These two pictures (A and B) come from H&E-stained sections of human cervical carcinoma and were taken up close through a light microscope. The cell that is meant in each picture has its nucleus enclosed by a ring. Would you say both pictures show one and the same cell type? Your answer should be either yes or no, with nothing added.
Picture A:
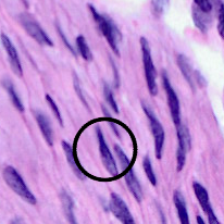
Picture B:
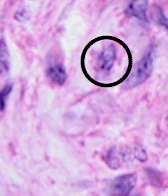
no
